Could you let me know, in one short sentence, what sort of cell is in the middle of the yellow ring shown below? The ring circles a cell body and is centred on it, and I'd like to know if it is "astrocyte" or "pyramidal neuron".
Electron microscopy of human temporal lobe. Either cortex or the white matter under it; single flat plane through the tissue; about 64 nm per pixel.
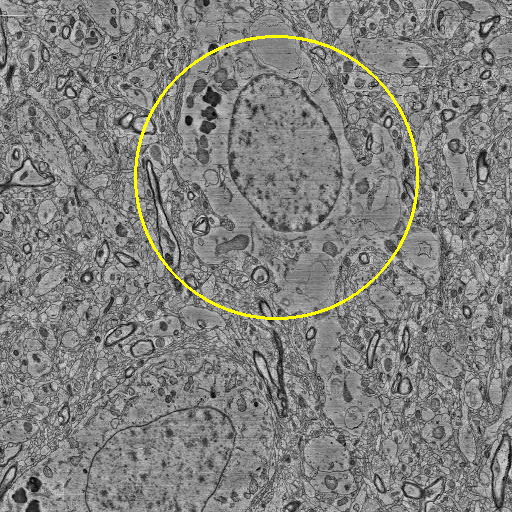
The ring circles the cell body of an astrocyte.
